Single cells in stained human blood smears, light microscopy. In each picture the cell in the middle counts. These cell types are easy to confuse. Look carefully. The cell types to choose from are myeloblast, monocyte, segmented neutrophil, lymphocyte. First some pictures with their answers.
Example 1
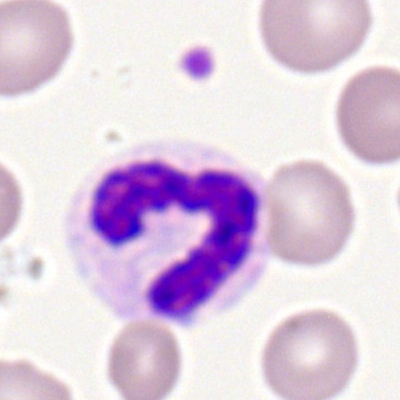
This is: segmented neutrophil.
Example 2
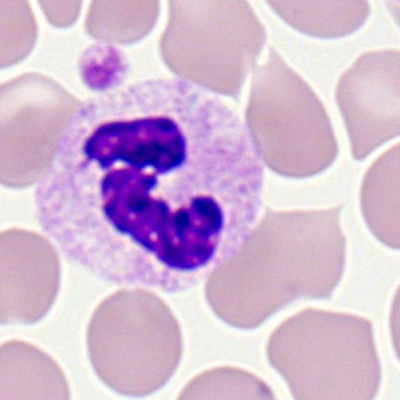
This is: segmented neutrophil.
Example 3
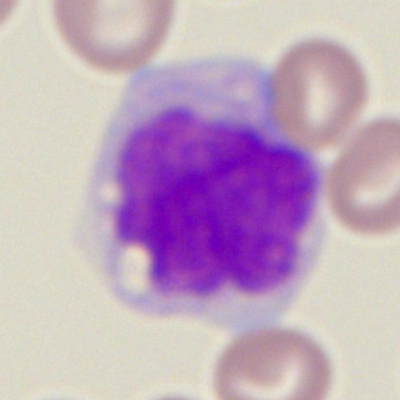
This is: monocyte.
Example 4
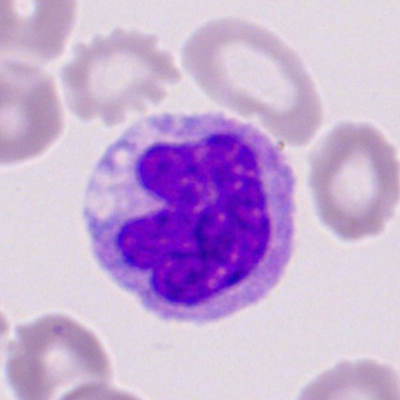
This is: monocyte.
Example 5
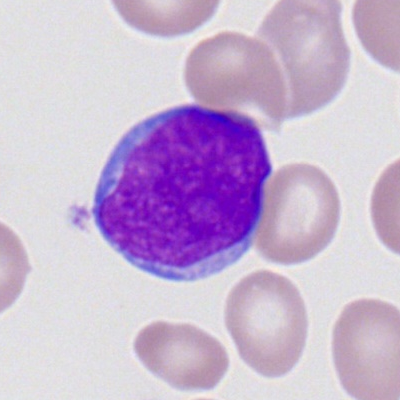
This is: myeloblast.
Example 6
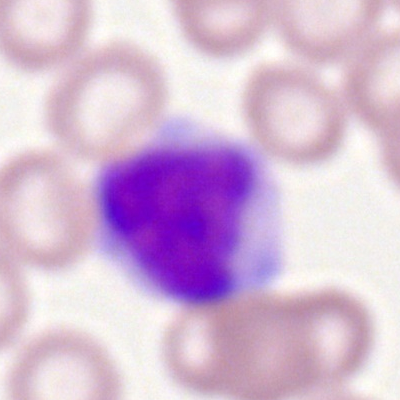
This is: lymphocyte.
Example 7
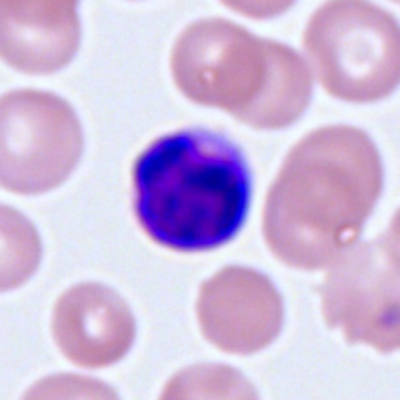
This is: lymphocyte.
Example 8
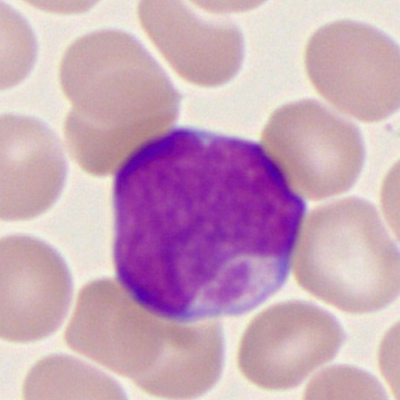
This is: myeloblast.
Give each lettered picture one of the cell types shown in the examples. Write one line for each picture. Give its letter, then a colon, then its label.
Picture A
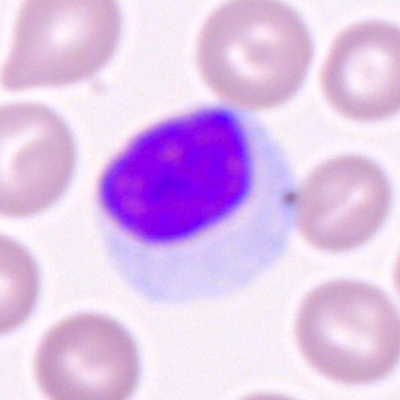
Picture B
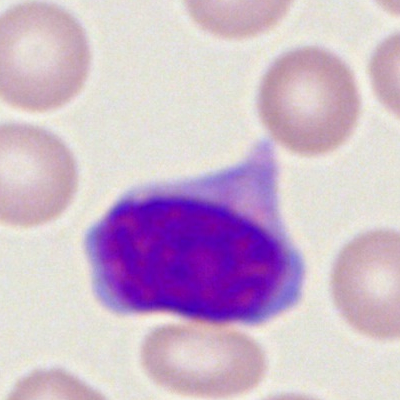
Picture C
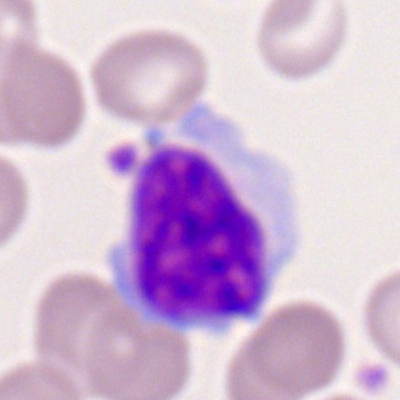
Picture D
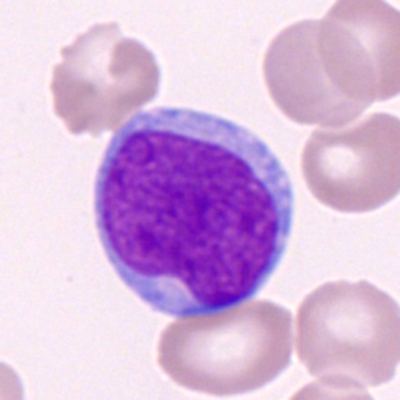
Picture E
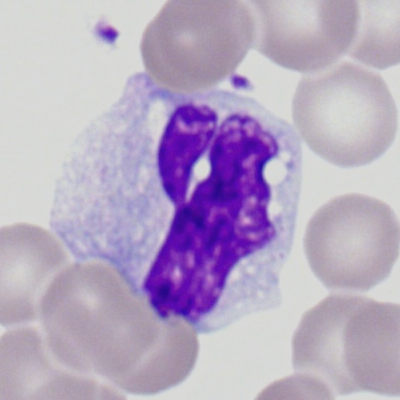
A: lymphocyte.
B: lymphocyte.
C: lymphocyte.
D: myeloblast.
E: monocyte.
